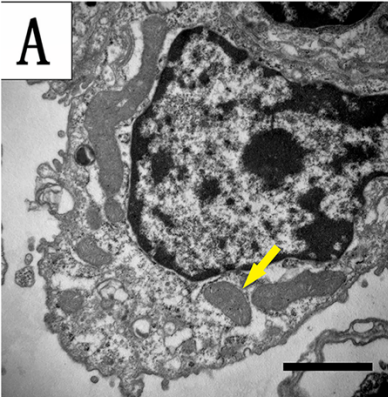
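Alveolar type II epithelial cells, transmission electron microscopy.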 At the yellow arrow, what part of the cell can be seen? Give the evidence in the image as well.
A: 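The arrow points to an elongated, electron-dense, membrane-bound organelle in the cytoplasm. The organelle shows fine internal folds. It lies beside the nucleus.
Answer: mitochondria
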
